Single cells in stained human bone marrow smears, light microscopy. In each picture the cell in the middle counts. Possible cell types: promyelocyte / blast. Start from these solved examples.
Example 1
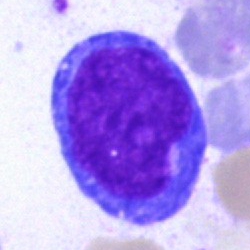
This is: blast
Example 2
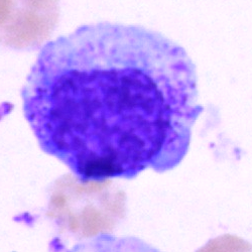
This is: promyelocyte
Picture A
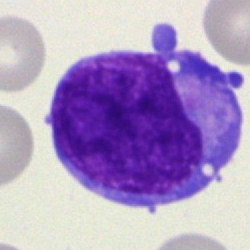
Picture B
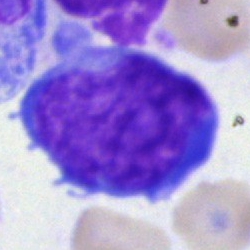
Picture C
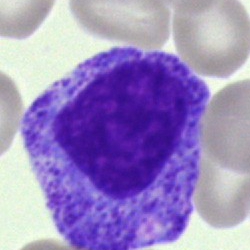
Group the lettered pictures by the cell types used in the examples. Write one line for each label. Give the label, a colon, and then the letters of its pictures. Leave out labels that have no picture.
promyelocyte: C
blast: A, B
